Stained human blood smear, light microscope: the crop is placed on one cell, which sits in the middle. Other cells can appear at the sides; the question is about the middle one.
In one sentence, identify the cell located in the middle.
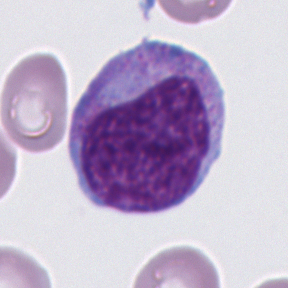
The crop shows an atypical promyelocyte in its centre.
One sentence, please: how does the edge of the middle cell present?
Its outline is smooth, with no projections anywhere along the edge.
